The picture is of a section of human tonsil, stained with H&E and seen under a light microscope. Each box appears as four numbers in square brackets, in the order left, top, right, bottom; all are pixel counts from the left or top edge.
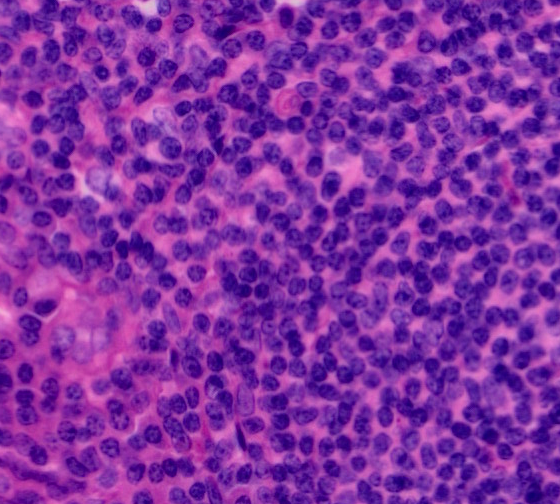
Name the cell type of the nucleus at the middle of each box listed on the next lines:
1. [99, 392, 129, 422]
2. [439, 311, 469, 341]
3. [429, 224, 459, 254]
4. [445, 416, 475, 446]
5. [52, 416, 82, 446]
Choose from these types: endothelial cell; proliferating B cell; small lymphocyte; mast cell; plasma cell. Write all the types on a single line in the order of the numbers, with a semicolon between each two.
plasma cell; small lymphocyte; small lymphocyte; small lymphocyte; plasma cell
